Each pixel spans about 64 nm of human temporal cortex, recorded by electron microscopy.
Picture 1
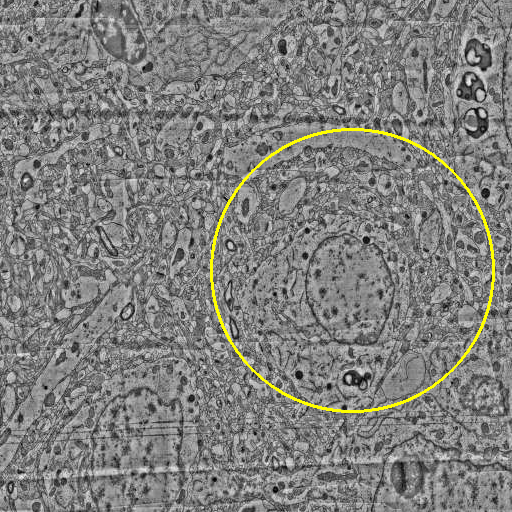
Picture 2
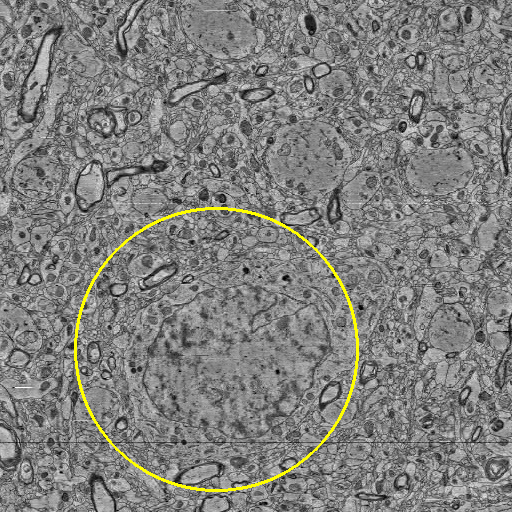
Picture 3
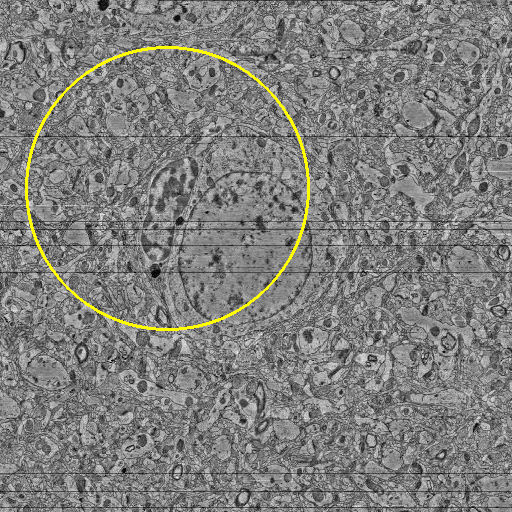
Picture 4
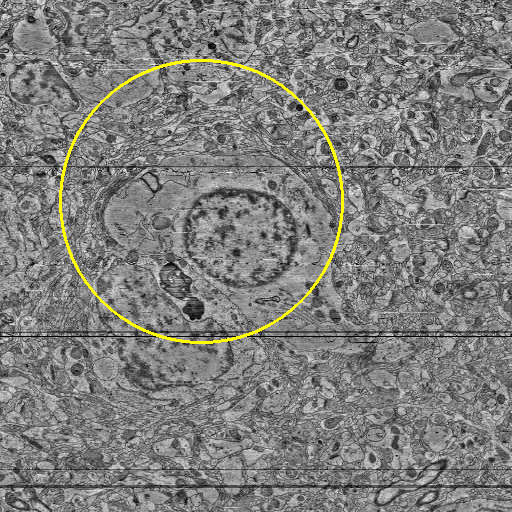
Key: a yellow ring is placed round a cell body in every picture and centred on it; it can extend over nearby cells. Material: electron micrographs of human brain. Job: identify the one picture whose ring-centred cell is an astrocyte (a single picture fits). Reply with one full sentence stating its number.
Picture 4 is the one with the sought cell at the centre of its ring.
